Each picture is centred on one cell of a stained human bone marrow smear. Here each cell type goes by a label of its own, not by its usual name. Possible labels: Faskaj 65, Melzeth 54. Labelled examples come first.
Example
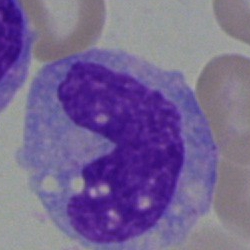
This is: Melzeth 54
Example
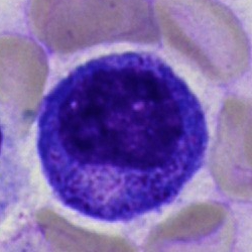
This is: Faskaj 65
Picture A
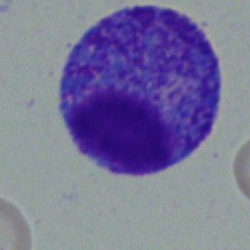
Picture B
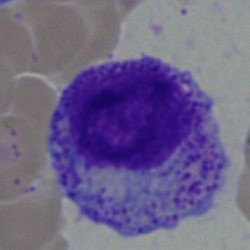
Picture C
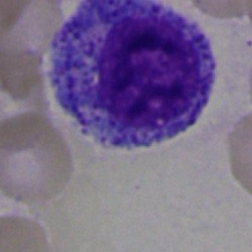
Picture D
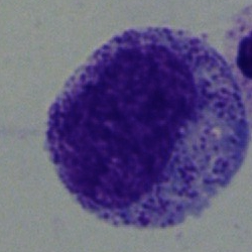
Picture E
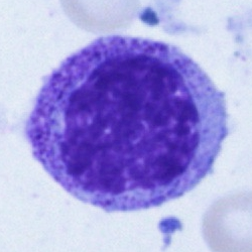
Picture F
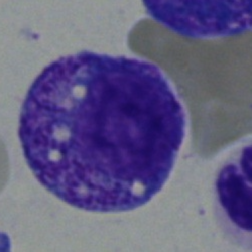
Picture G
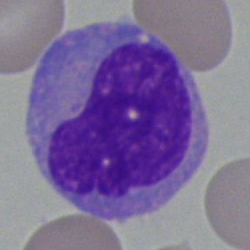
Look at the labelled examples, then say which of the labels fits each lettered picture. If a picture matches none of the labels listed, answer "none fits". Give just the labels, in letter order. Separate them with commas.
Faskaj 65, none fits, Faskaj 65, Faskaj 65, Faskaj 65, none fits, Melzeth 54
